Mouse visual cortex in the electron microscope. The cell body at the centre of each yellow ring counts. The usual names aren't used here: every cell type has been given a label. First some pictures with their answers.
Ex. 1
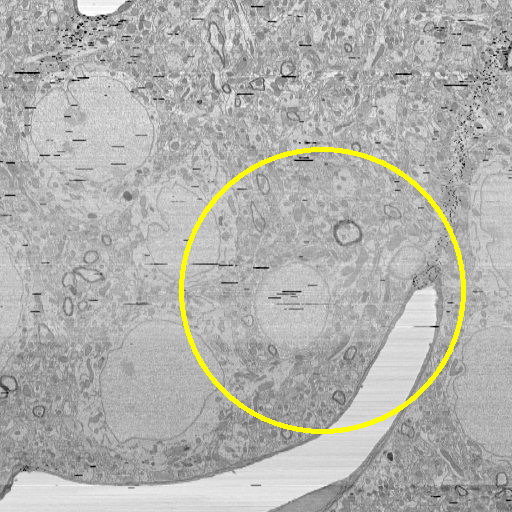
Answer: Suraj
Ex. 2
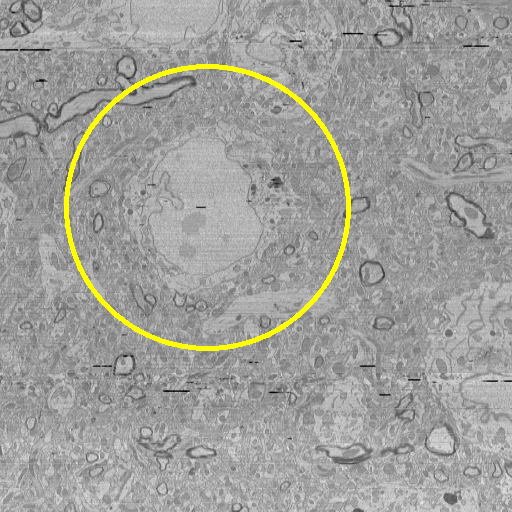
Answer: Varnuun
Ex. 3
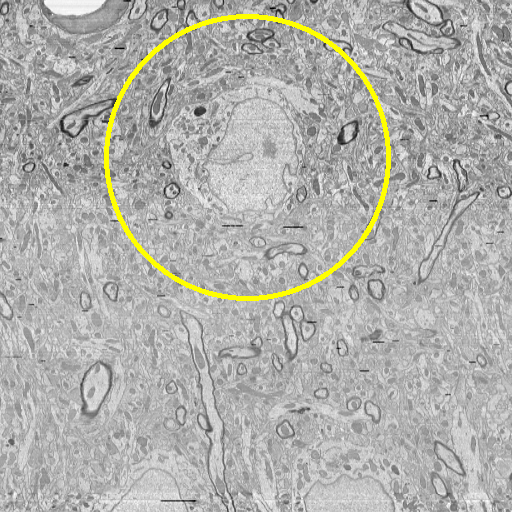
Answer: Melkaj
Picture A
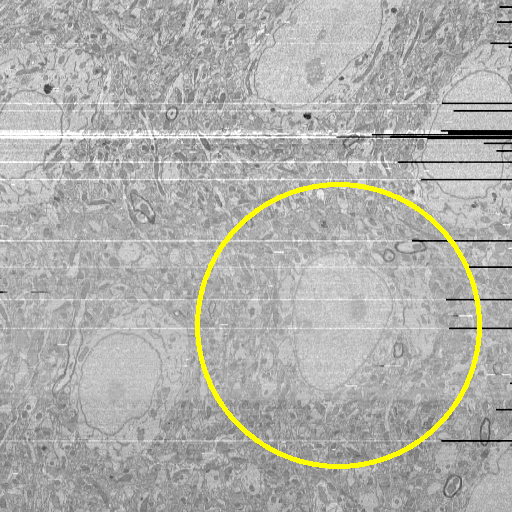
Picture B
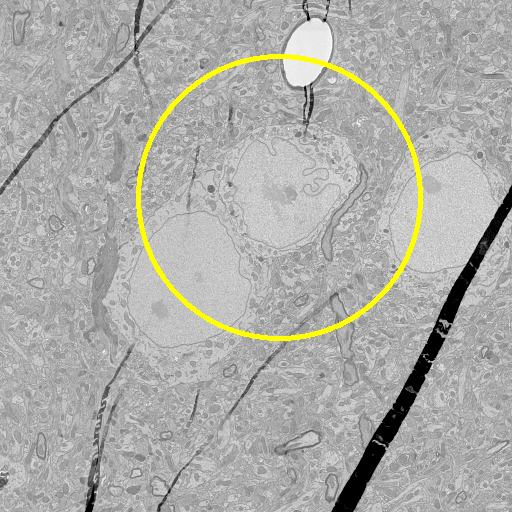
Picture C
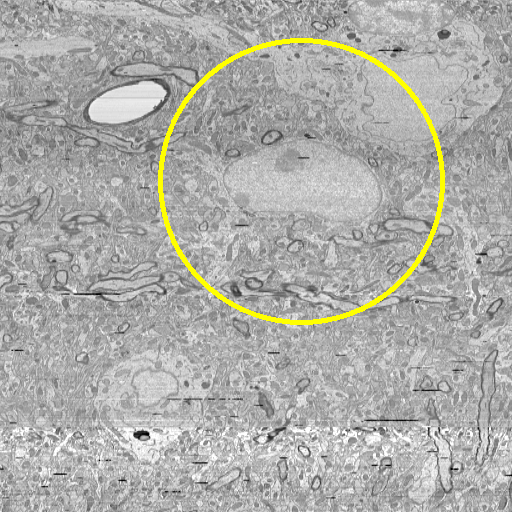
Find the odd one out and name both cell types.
Different: B, Melkaj. Others: Suraj.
